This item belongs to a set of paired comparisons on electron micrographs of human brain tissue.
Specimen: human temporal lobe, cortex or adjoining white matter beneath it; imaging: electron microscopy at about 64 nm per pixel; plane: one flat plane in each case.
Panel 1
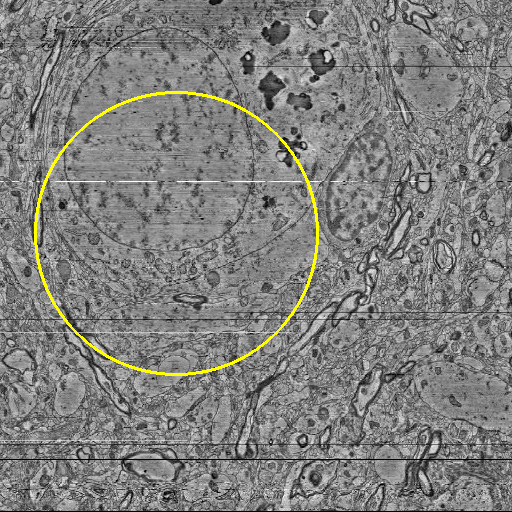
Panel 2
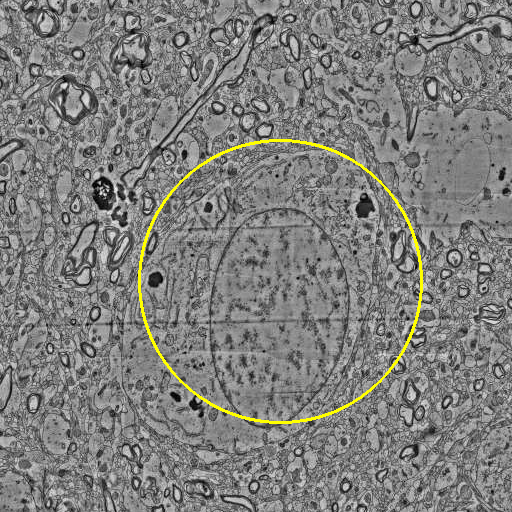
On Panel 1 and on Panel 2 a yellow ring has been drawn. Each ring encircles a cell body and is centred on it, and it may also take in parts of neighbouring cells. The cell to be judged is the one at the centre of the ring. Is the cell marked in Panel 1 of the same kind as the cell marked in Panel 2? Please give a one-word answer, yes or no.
yes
